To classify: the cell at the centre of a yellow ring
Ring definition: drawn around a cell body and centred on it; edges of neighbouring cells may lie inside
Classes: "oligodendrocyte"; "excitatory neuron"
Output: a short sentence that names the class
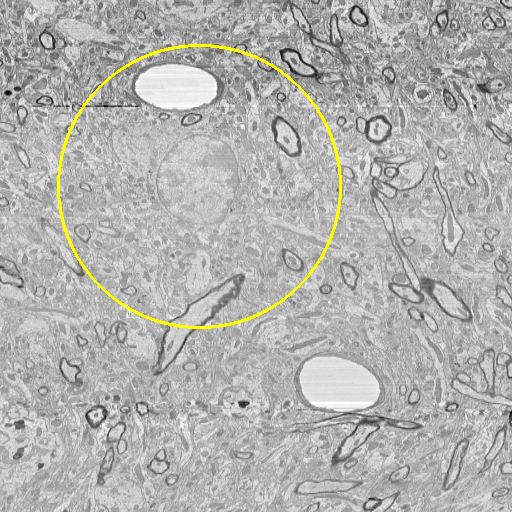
The ringed cell is an oligodendrocyte.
